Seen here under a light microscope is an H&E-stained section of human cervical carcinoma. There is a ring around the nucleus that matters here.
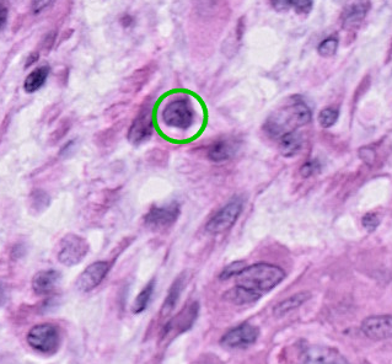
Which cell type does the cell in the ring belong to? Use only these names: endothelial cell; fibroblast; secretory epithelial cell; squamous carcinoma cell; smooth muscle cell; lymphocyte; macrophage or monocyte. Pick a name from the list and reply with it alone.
macrophage or monocyte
